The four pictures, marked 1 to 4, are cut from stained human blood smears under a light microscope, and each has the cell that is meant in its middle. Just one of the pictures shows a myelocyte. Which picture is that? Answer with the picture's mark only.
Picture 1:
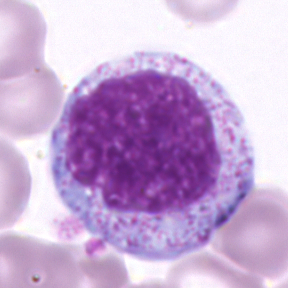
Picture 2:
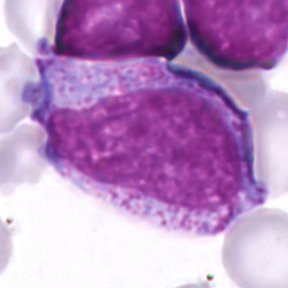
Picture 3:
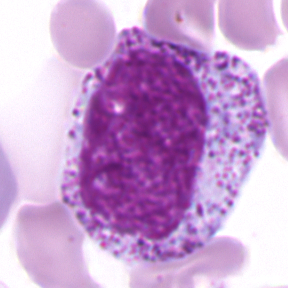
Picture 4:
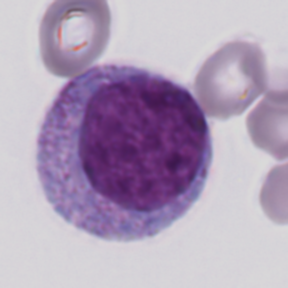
3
